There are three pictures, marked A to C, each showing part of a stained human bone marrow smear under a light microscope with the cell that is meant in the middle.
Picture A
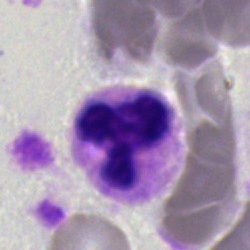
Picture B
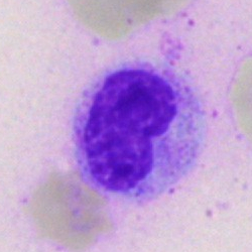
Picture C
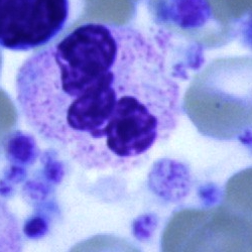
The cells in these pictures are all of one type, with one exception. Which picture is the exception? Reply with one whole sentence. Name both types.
The different one is picture B; it shows a metamyelocyte, whereas all the others show segmented neutrophils.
